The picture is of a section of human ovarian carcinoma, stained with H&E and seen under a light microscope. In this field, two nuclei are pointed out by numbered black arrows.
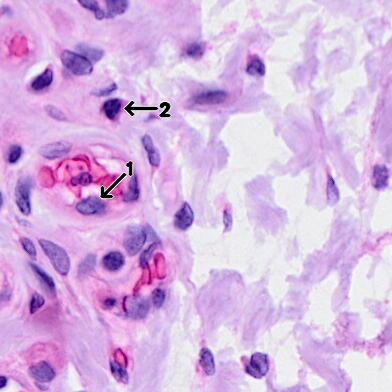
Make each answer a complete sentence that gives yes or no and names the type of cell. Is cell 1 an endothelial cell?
Yes, the cell denoted by 1 is an endothelial cell.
